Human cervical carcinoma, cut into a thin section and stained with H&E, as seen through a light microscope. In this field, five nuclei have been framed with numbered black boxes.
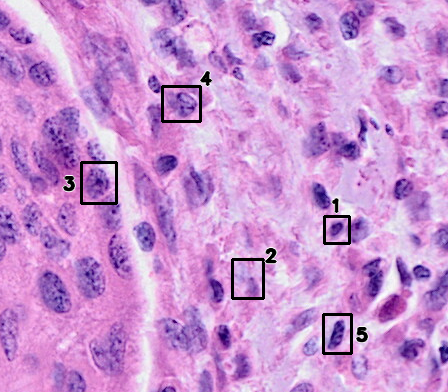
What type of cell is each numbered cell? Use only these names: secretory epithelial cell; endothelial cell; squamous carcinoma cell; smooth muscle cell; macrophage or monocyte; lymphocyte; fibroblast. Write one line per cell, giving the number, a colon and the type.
1: lymphocyte
2: fibroblast
3: squamous carcinoma cell
4: macrophage or monocyte
5: lymphocyte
